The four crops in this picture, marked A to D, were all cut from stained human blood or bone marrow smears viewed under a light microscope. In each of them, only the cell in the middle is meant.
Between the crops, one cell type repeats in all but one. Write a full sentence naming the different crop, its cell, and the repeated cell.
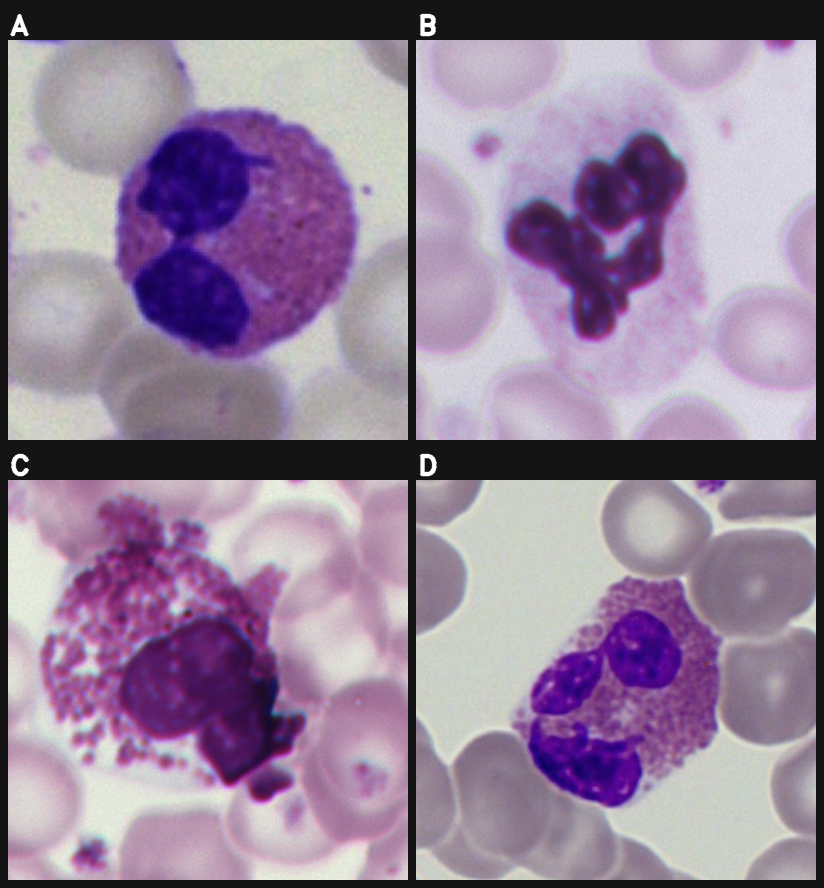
Of the crops, all show eosinophils save crop B, which shows a segmented neutrophil.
